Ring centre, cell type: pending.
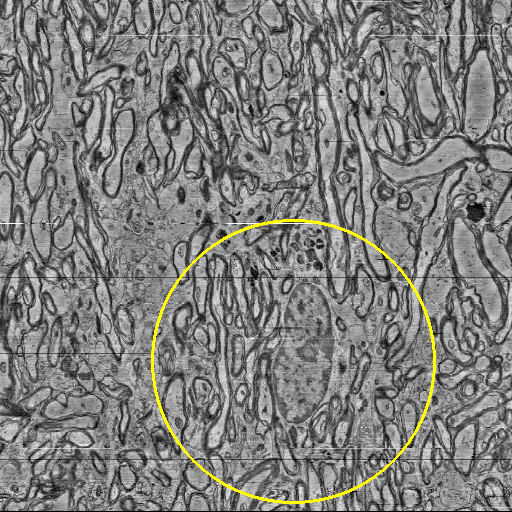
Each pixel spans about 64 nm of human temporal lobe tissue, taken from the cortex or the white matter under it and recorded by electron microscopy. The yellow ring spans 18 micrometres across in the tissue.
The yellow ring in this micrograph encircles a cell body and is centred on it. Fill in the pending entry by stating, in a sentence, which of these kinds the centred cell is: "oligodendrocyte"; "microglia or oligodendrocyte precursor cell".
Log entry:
The centred cell is recorded as a microglial cell or oligodendrocyte precursor cell.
